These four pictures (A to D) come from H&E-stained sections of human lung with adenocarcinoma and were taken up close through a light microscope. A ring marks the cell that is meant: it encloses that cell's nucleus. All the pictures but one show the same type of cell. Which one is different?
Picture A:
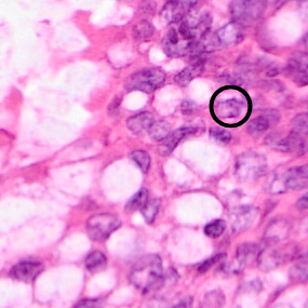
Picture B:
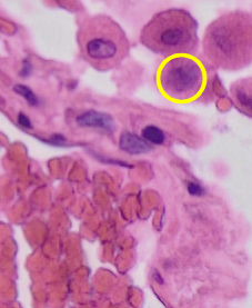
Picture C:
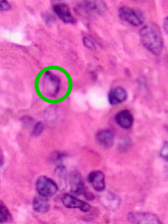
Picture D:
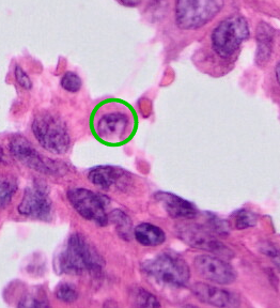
A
